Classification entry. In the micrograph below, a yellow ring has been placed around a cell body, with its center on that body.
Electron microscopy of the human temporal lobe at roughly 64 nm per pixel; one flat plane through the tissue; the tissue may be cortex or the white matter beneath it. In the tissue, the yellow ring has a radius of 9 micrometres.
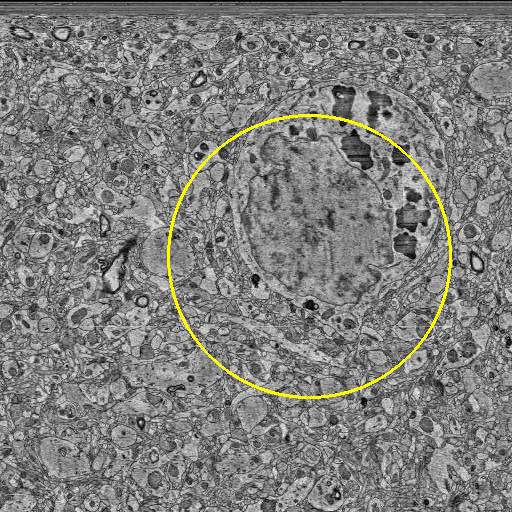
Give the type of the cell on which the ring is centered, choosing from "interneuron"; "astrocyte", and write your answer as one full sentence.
The cell body at the center of the yellow ring belongs to an interneuron.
